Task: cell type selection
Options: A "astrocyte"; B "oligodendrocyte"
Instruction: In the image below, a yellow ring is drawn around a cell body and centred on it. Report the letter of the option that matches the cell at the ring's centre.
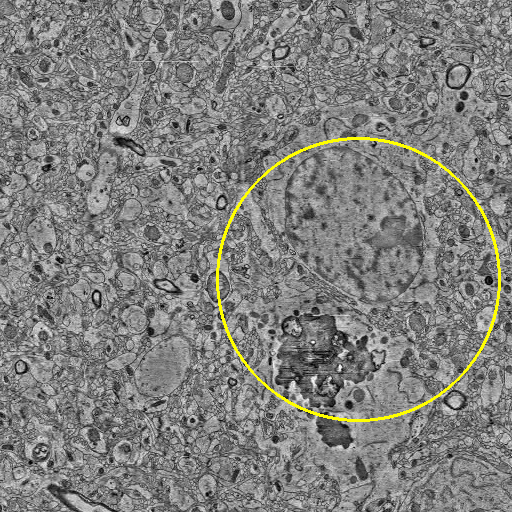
A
